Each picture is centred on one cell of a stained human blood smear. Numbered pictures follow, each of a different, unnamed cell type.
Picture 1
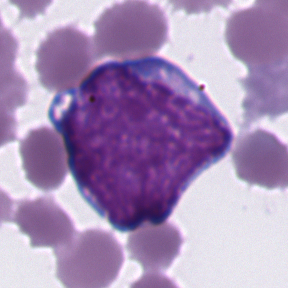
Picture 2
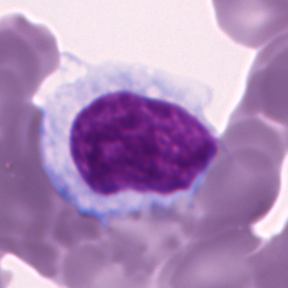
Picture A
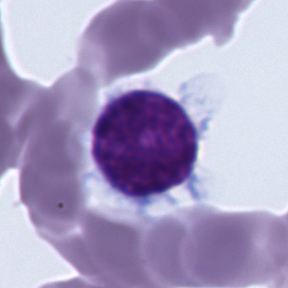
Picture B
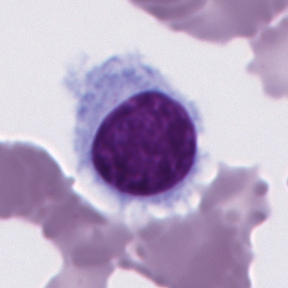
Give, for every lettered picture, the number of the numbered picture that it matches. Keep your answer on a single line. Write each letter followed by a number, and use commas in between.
A 2, B 2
